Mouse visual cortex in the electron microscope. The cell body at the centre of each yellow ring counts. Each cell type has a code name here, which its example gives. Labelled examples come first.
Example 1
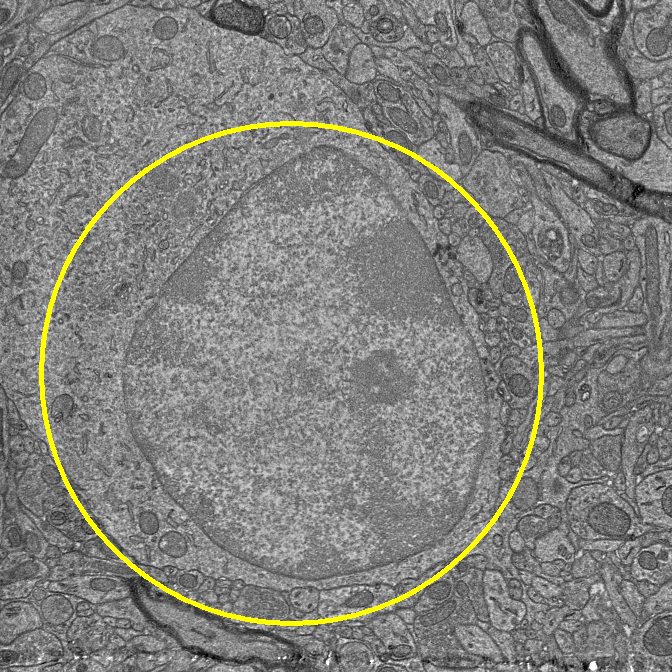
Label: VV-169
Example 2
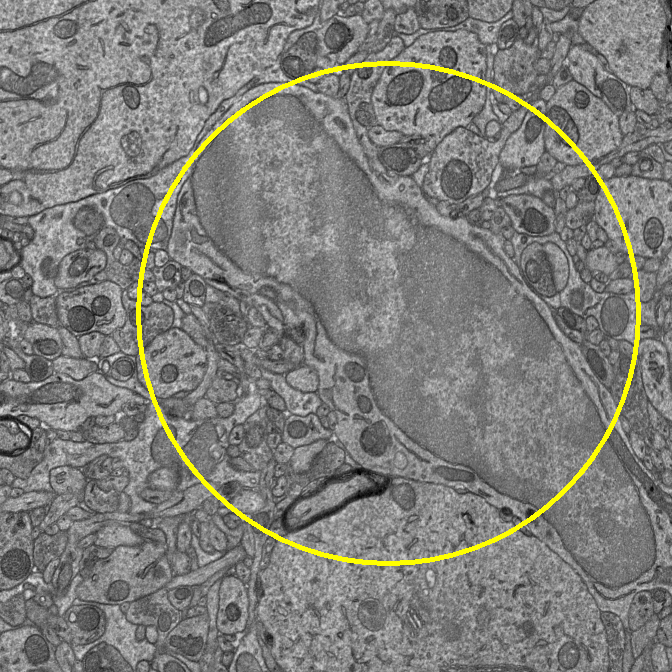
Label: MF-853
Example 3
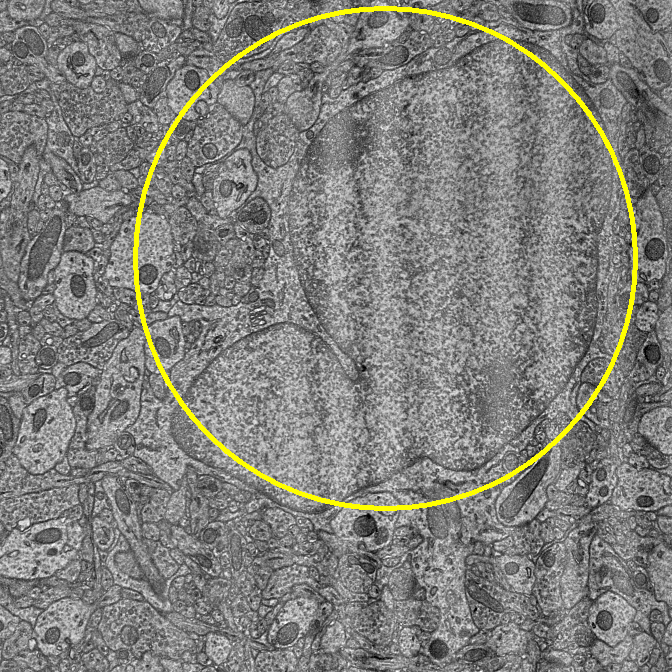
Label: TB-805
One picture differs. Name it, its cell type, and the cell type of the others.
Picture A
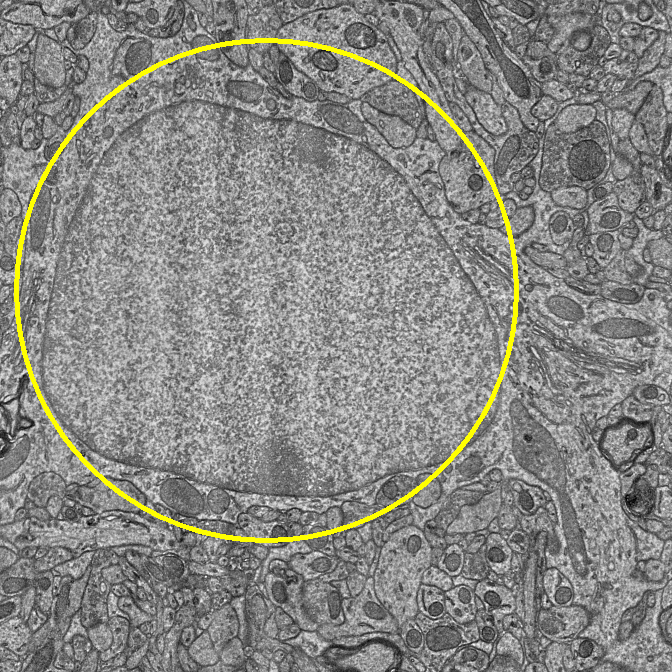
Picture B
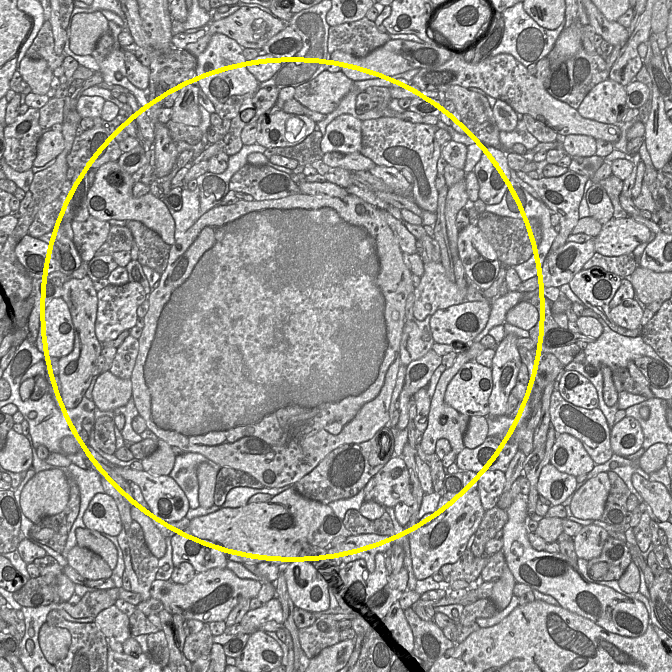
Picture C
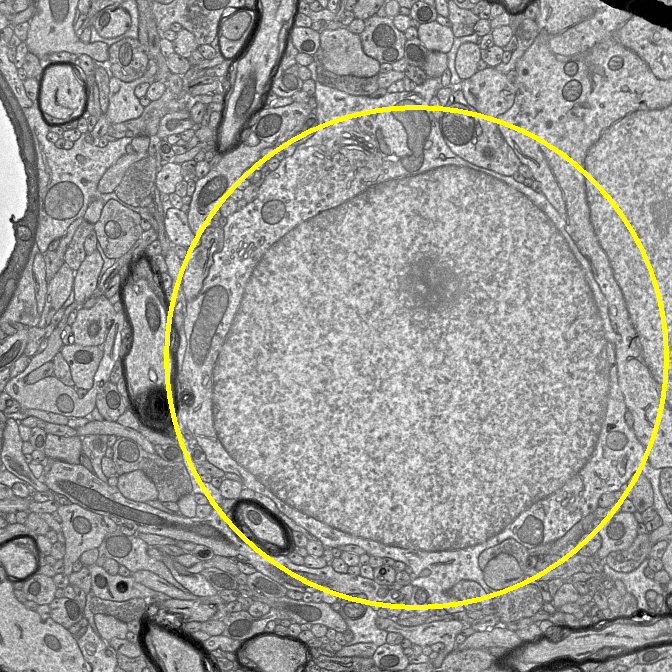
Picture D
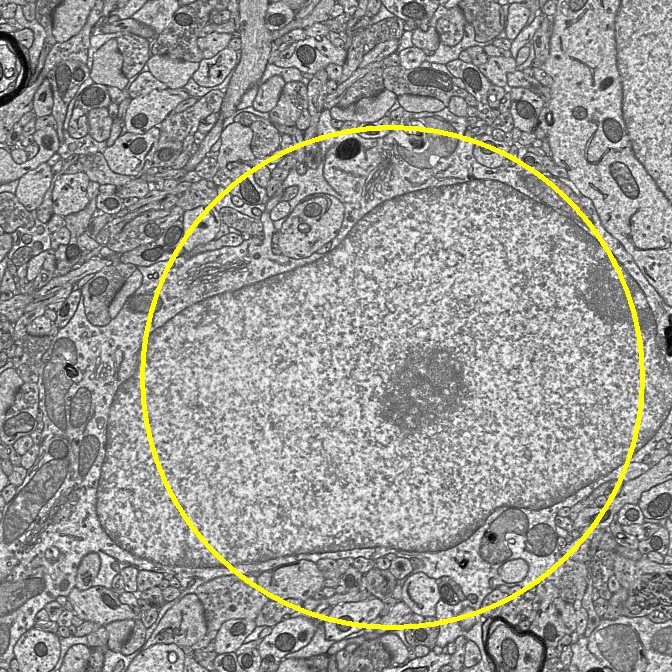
Exception: B, showing MF-853. Remaining pictures: TB-805.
